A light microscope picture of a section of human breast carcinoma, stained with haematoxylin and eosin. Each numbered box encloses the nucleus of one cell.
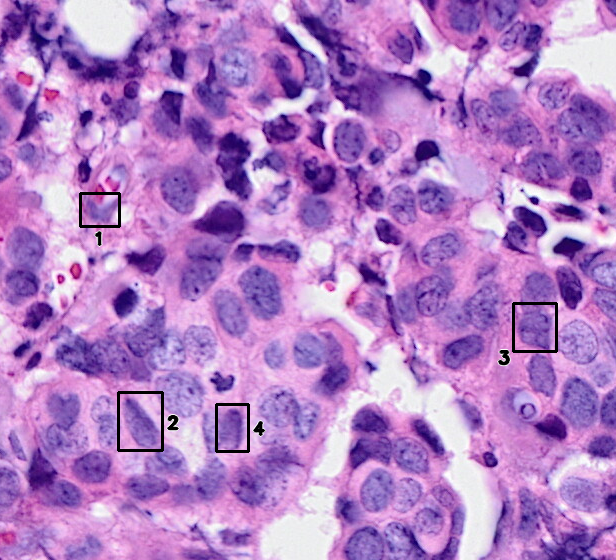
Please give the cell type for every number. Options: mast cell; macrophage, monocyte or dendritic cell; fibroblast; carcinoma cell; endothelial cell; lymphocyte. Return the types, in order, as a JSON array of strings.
["endothelial cell", "carcinoma cell", "carcinoma cell", "carcinoma cell"]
